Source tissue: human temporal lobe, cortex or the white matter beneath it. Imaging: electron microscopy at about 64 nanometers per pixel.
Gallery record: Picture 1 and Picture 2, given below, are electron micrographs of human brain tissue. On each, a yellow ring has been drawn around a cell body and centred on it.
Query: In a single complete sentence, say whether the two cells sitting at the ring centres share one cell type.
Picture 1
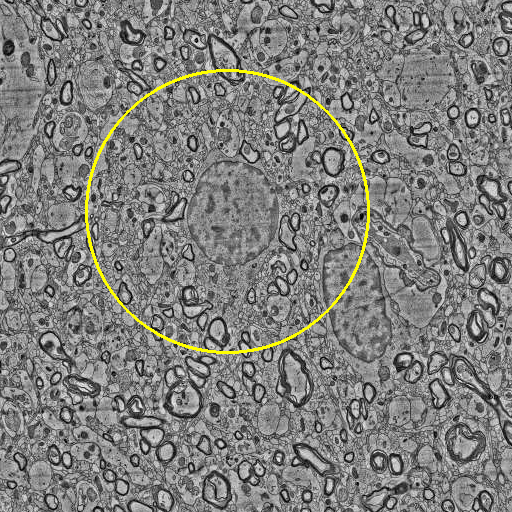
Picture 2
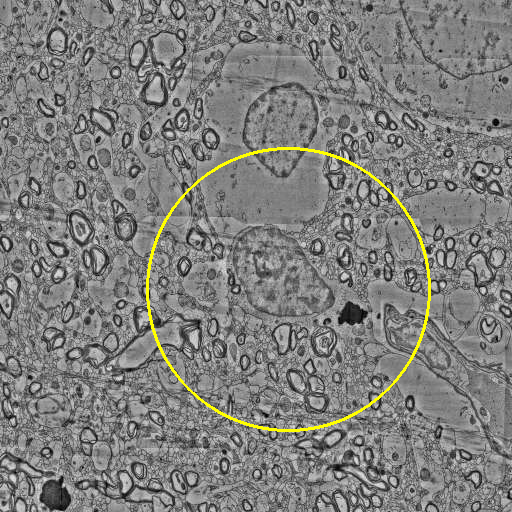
Yes, in both pictures the cell at the ring's centre is of one and the same type.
